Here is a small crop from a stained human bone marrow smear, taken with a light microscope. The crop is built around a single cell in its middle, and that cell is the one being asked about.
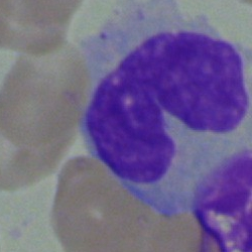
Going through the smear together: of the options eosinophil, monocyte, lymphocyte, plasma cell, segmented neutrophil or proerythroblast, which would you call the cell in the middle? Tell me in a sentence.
What sits at the centre of this crop is a monocyte.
